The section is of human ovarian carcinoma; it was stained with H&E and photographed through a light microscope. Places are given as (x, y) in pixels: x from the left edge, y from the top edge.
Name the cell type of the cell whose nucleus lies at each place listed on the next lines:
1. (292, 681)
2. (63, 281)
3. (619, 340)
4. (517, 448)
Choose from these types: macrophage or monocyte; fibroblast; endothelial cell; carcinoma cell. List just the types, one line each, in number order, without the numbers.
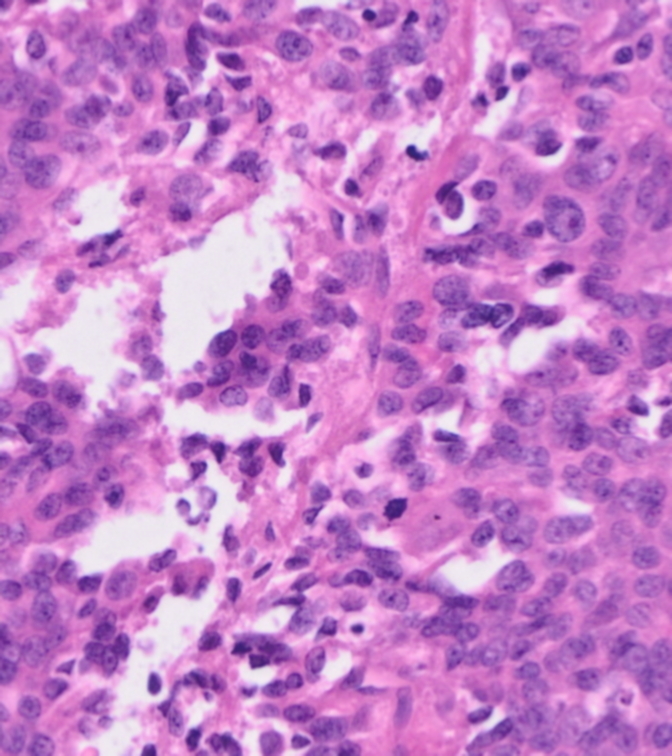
macrophage or monocyte
macrophage or monocyte
macrophage or monocyte
carcinoma cell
